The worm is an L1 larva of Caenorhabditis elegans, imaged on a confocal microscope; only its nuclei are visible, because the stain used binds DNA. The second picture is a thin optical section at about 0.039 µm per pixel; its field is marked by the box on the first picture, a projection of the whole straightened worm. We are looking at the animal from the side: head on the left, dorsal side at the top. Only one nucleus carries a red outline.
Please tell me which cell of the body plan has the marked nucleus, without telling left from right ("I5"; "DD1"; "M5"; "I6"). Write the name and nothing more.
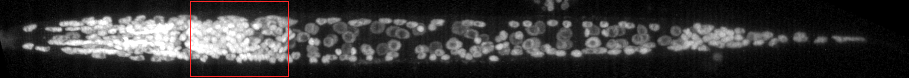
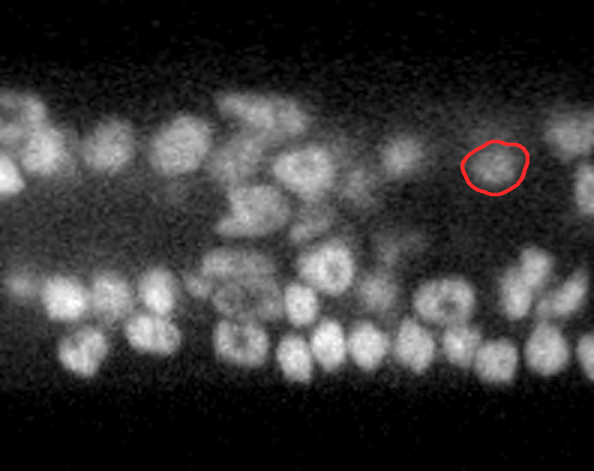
M5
